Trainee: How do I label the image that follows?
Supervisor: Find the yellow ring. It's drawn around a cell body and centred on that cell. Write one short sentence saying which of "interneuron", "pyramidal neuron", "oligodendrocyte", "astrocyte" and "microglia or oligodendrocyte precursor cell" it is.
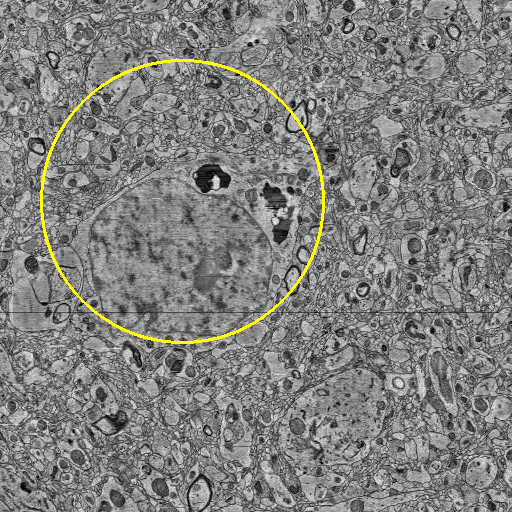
This is the cell body of an interneuron.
